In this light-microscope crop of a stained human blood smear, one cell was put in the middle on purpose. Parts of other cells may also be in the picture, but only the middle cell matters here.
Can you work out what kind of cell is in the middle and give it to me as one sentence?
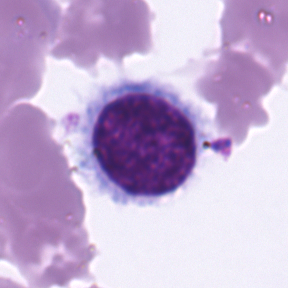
For this crop, the cell in the middle is a hairy cell.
